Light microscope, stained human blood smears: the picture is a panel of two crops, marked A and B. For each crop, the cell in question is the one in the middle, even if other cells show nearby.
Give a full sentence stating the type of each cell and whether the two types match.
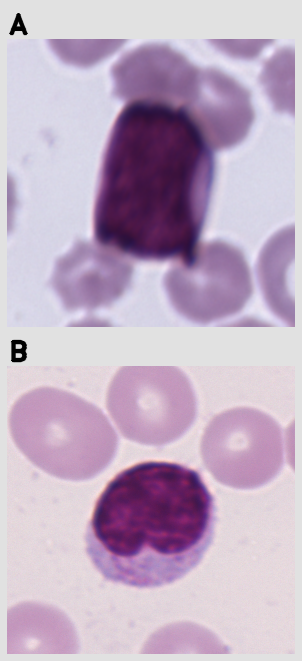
No, crop A presents a blast; crop B presents a large granular lymphocyte.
